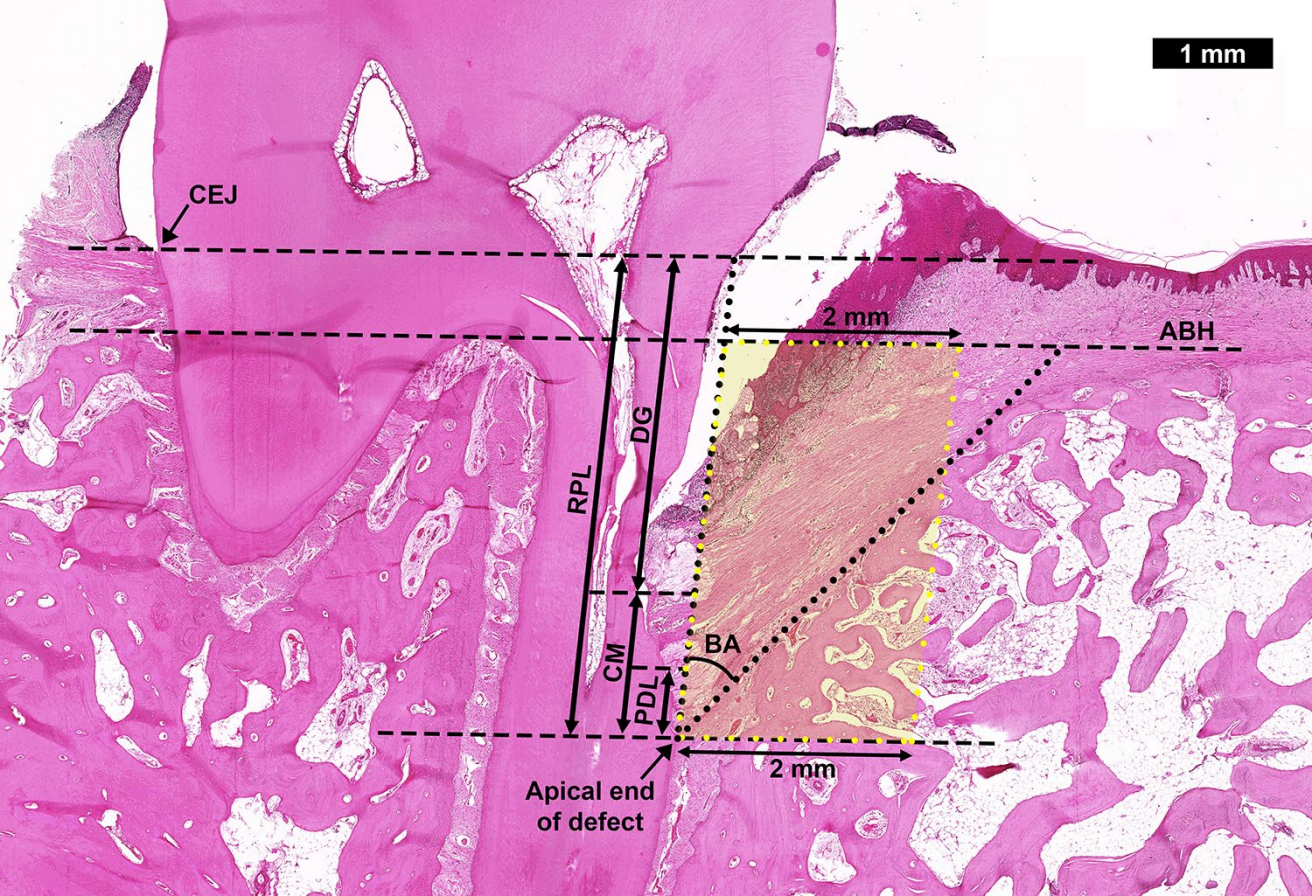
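This section runs through a tooth and the jaw bone beside it. A solid, evenly pink column of hard tooth tissue runs down the middle. It is hollowed by narrow pulp spaces. To its right, in the defect area, the tissue changes with depth. Lower down, newly formed bone appears as interlacing pink trabeculae with pale marrow spaces. Further right and below lies mature spongy bone with large white marrow cavities. At the upper right, a darker pink stratified lining covers the soft tissue surface. A narrow strip of it extends down along the root surface.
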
